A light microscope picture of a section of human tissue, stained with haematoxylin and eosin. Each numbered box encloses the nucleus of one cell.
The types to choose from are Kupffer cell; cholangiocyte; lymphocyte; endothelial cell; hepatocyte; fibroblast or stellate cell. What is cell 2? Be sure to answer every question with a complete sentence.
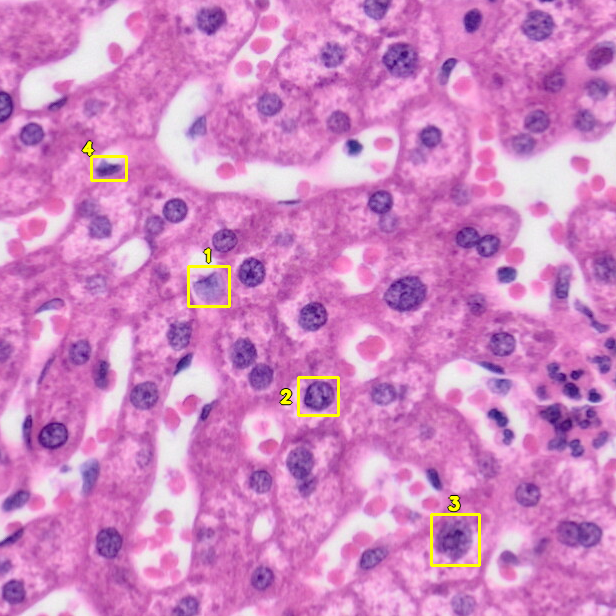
The cell to which the number 2 is assigned is a hepatocyte.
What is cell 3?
Corresponding to a hepatocyte is the cell labelled 3.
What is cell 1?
Denoted by the label 1 in the section is an endothelial cell.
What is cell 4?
To an endothelial cell belongs the nucleus marked 4.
